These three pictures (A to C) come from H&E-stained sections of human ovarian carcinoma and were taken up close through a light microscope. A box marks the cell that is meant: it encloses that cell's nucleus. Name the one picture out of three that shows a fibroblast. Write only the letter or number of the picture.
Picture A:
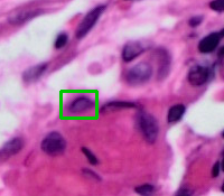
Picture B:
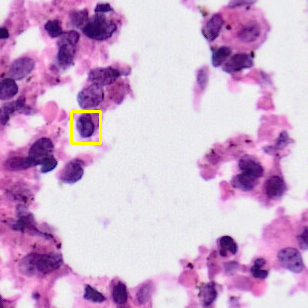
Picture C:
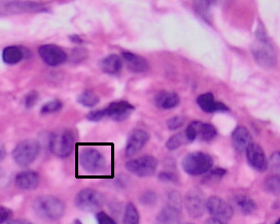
A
